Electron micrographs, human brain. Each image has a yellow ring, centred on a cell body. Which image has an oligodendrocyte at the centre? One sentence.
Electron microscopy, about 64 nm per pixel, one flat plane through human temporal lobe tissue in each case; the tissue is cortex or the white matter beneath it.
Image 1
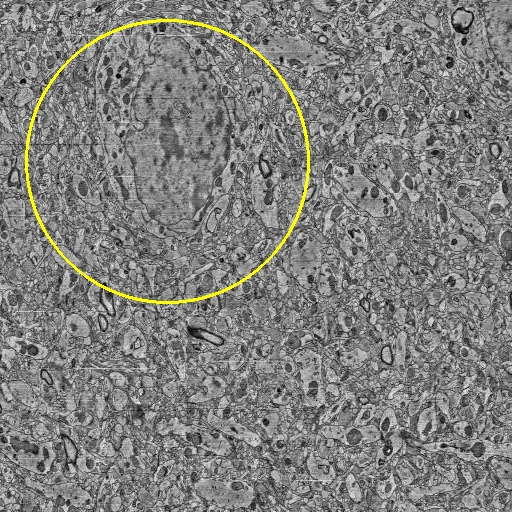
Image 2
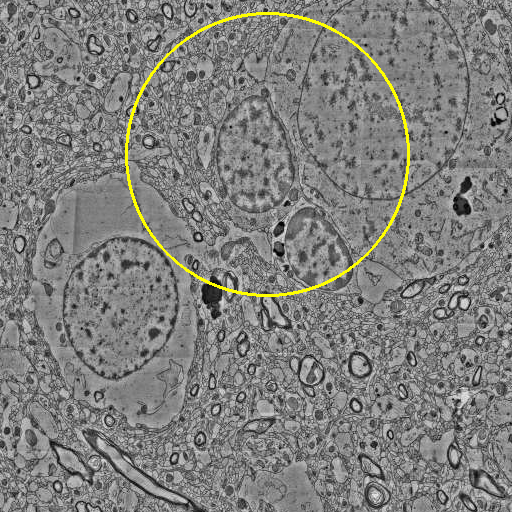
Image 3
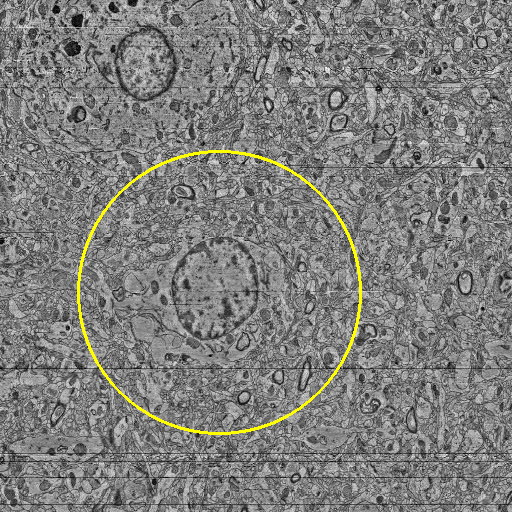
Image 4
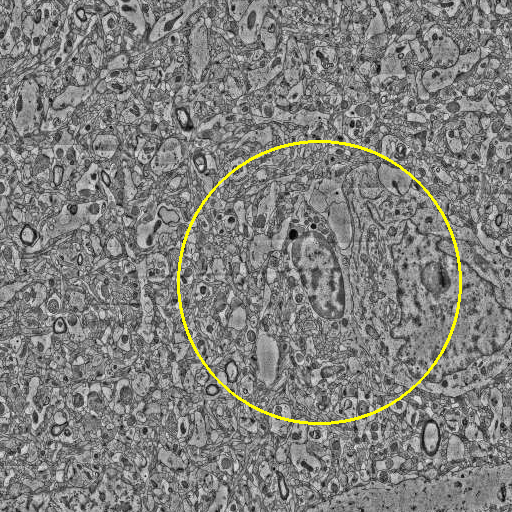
The ring in Image 2 is centred on it.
